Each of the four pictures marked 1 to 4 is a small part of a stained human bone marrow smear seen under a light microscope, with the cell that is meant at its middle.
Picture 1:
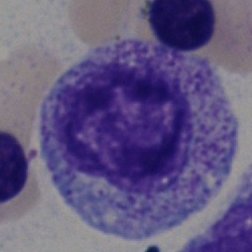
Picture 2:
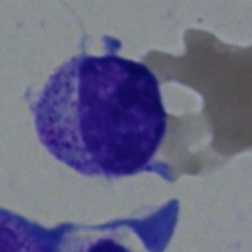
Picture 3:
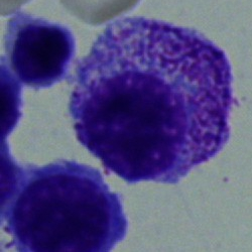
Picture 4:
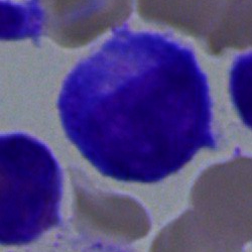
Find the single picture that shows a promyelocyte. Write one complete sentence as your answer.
The promyelocyte is the one in picture 4.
